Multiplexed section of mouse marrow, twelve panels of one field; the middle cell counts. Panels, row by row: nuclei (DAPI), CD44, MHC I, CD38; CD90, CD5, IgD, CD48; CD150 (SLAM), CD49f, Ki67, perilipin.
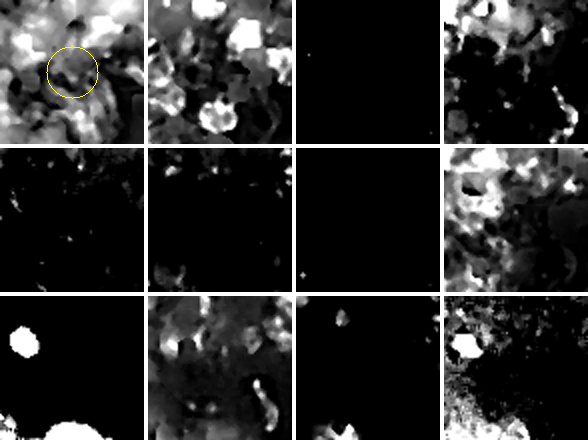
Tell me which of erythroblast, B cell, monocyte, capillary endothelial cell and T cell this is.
The picture shows an erythroblast.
